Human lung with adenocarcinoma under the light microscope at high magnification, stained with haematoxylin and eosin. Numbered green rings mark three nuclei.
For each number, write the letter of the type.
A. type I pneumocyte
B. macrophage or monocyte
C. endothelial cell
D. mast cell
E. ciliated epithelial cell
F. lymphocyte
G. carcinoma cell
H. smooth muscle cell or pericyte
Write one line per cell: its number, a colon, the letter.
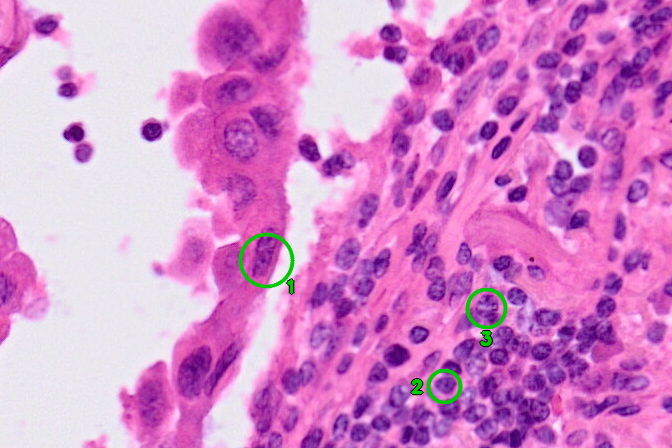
1: G
2: F
3: F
